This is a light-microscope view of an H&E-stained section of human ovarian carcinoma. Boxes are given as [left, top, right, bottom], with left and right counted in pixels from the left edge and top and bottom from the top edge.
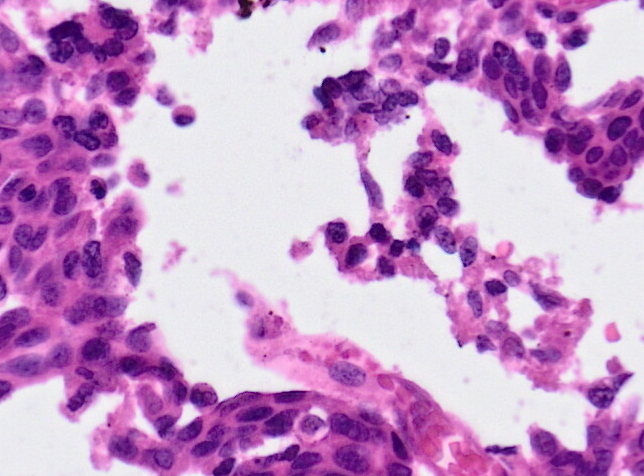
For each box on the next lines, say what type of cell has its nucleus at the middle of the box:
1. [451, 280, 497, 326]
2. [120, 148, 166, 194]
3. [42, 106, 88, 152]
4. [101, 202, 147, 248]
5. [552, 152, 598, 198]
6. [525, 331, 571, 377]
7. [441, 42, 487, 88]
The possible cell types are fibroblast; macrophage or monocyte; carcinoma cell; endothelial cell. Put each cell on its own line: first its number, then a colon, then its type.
1: macrophage or monocyte
2: macrophage or monocyte
3: carcinoma cell
4: carcinoma cell
5: carcinoma cell
6: macrophage or monocyte
7: carcinoma cell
